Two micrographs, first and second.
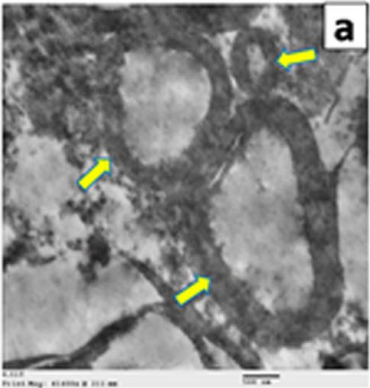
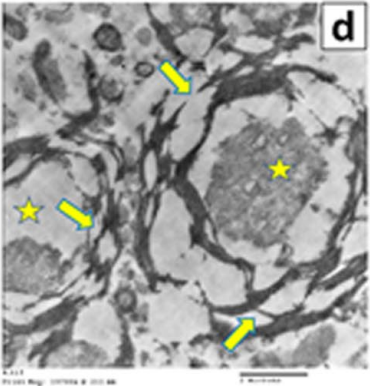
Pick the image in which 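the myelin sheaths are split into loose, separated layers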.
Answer: The second image.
